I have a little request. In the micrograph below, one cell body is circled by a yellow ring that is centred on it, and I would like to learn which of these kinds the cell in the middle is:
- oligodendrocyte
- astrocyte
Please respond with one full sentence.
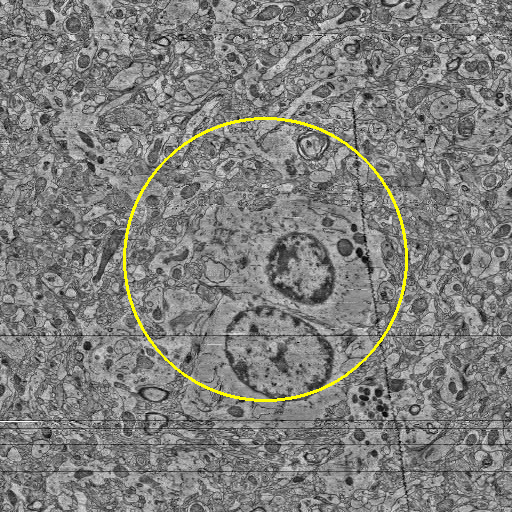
The cell sitting in the middle of the yellow ring in the micrograph is an astrocyte.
